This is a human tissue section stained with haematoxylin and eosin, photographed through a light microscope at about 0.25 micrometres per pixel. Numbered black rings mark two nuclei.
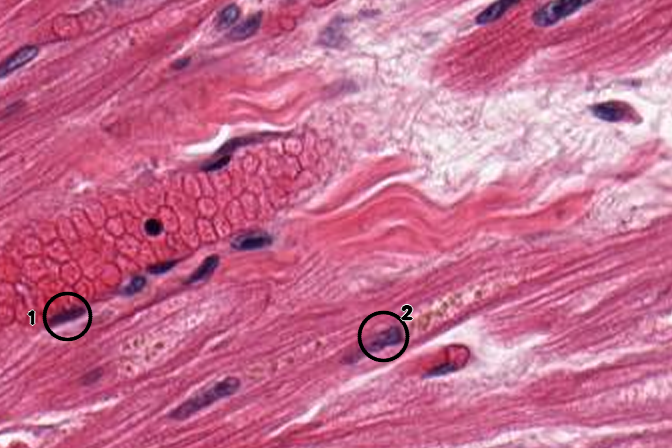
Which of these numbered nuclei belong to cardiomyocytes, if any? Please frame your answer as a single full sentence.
Belonging to a cardiomyocyte is true of nucleus 2 only.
